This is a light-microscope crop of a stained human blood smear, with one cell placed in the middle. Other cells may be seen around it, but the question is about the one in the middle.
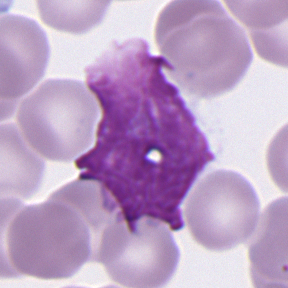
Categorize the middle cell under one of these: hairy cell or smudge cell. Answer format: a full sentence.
The central cell in this smear crop is a smudge cell.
